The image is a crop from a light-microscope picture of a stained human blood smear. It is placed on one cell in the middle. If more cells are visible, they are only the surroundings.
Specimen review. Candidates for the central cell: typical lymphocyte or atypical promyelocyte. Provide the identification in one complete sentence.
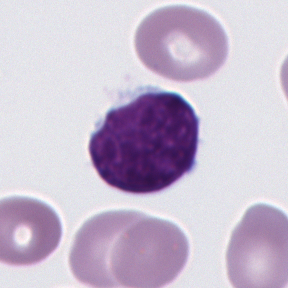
As for the cell in the middle, it is a typical lymphocyte.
